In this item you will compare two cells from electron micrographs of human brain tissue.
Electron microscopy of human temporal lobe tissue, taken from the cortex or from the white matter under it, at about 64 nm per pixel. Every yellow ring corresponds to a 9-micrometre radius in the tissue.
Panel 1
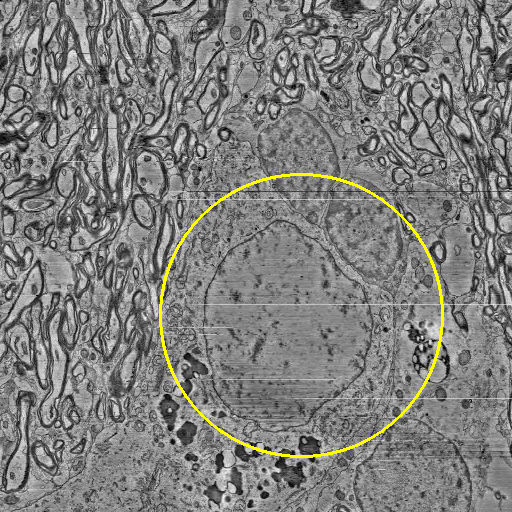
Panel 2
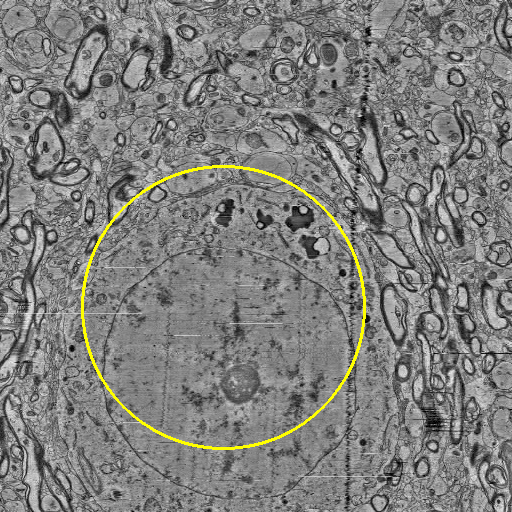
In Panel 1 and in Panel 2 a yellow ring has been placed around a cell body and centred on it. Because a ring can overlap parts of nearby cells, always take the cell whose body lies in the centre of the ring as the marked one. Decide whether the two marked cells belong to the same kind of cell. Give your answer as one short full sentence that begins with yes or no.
Yes, the two marked cells belong to the same kind of cell.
